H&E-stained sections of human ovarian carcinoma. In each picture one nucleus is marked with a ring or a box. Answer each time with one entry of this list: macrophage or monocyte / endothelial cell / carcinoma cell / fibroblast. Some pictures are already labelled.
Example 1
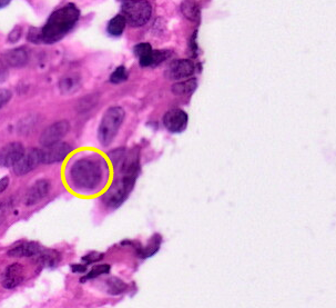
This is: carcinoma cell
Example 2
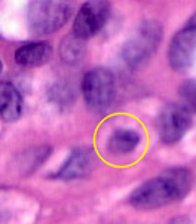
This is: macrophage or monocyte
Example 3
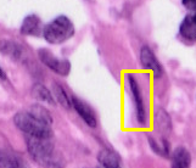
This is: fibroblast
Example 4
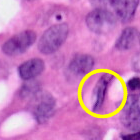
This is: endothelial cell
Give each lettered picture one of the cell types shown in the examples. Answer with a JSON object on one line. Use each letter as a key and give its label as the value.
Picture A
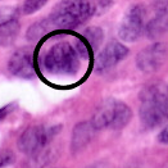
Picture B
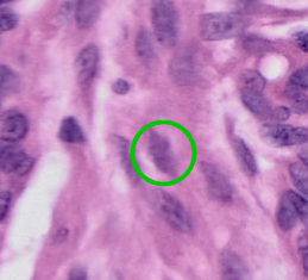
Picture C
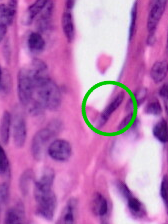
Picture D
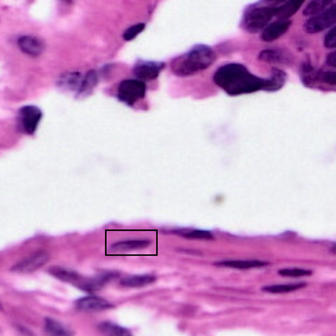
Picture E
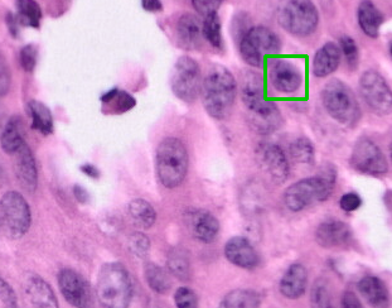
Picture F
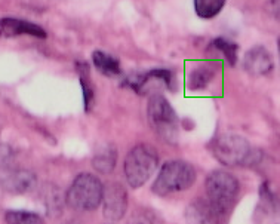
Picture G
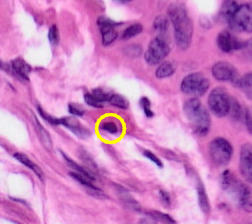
{"A": "carcinoma cell", "B": "fibroblast", "C": "endothelial cell", "D": "fibroblast", "E": "macrophage or monocyte", "F": "macrophage or monocyte", "G": "endothelial cell"}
